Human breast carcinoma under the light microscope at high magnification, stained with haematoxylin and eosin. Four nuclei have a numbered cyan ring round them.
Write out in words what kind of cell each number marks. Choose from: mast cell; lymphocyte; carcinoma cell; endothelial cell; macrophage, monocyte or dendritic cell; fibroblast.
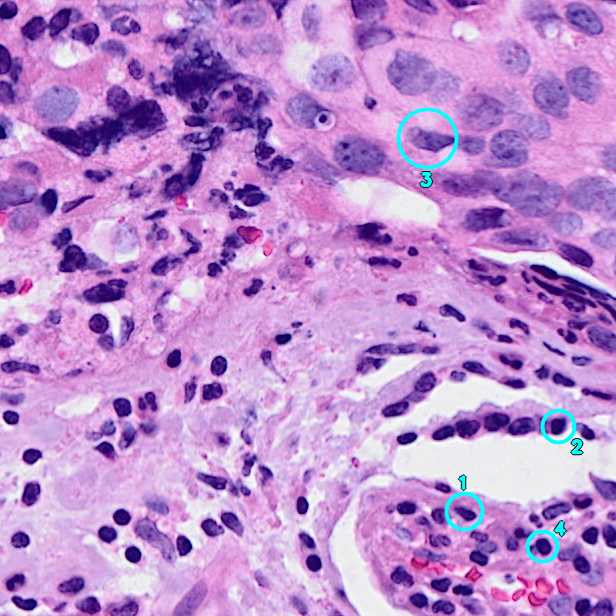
Cell 1 is a lymphocyte, cell 2 is a lymphocyte, cell 3 is a carcinoma cell and cell 4 is a lymphocyte.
